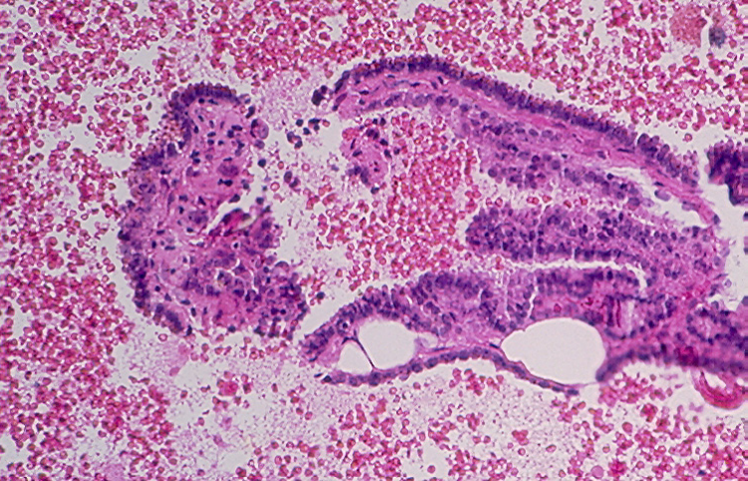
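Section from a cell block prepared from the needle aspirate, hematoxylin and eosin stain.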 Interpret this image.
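Papillary tissue fragments covered with epithelium lie in a background of abundant red blood cells. The fragments have pink fibrous cores, and their surfaces are lined by a single row of cuboidal to columnar cells with small, round, dark-purple nuclei and pale pink cytoplasm. The nuclei look fairly uniform and evenly spaced along the lining. Red blood cells also fill the spaces between the branching fronds, and a few small clear spaces lie along the lower edge of the fragment.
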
